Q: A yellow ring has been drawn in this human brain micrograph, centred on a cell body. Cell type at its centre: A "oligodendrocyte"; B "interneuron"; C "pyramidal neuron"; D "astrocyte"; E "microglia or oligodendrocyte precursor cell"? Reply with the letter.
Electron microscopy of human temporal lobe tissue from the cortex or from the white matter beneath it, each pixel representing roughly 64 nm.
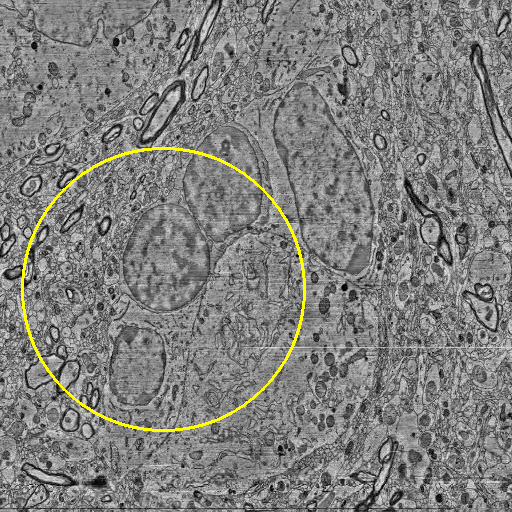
A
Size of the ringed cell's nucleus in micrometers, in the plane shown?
Roughly 7 micrometres by 6 micrometres, in this plane.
